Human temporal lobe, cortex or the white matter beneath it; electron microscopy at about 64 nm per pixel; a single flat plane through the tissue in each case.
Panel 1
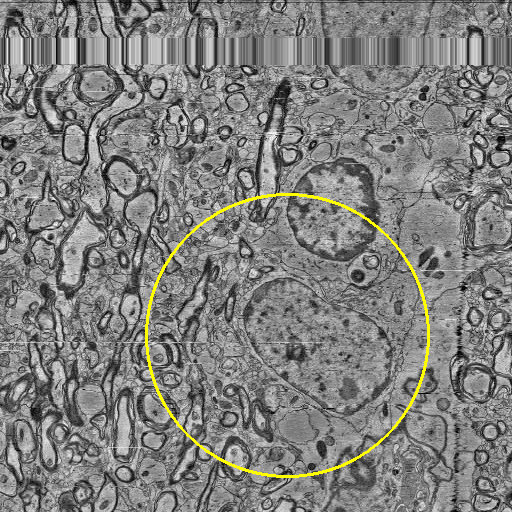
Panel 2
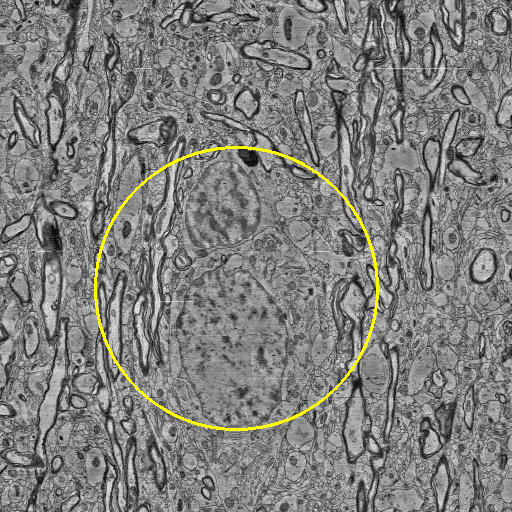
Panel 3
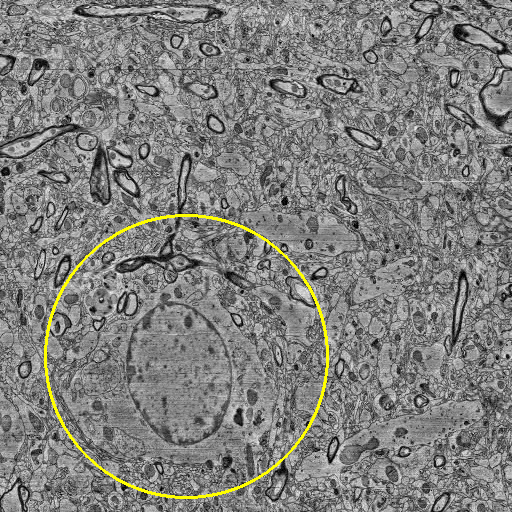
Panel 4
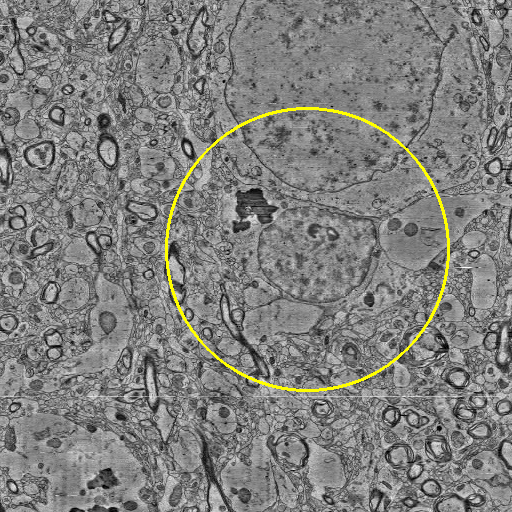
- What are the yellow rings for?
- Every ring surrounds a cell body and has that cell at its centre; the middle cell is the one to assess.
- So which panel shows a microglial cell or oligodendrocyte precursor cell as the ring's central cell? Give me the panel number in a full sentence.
The panel whose ring is centred on the cell in question is panel 1.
